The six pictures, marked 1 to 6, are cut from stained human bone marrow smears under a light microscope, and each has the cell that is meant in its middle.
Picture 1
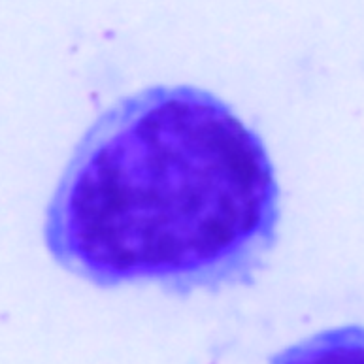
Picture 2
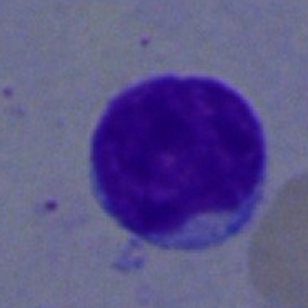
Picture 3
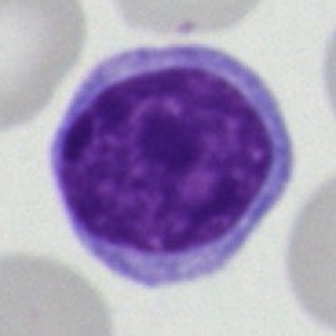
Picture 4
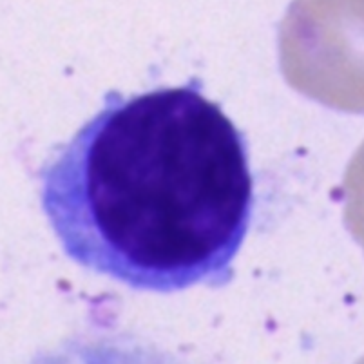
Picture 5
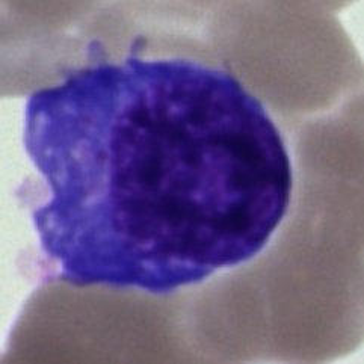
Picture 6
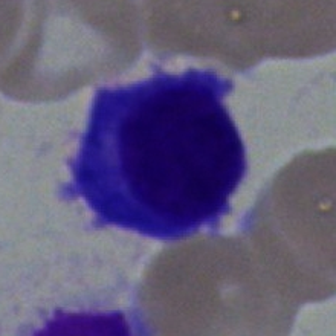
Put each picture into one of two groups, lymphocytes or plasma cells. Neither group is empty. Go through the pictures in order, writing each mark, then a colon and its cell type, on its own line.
1: lymphocyte
2: lymphocyte
3: lymphocyte
4: lymphocyte
5: plasma cell
6: plasma cell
